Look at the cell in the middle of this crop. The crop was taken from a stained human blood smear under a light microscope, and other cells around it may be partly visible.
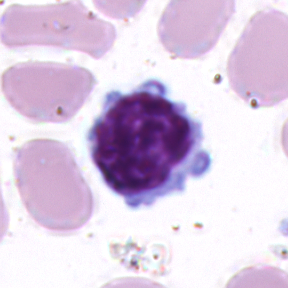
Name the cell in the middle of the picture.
plasma cell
